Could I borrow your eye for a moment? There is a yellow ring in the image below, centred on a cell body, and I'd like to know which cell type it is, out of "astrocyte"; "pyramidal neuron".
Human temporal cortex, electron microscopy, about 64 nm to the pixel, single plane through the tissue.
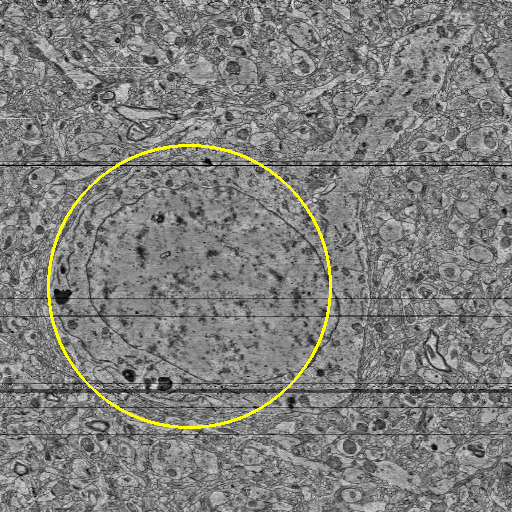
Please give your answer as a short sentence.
The cell body at the centre is that of a pyramidal neuron.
